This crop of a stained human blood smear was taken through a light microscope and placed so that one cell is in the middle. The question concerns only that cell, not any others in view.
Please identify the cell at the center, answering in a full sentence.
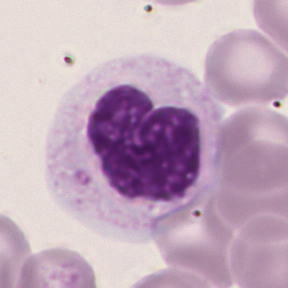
Centrally within this crop lies a band neutrophil.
